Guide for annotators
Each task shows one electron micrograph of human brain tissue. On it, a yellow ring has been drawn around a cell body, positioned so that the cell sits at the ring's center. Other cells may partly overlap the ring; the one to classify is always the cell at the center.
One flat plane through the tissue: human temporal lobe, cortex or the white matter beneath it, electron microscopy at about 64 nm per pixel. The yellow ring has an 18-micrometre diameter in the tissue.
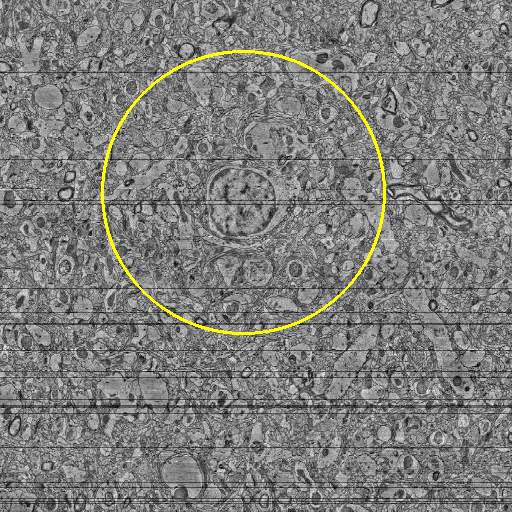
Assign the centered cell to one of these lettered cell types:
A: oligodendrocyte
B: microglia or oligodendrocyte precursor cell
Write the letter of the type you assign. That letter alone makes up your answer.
B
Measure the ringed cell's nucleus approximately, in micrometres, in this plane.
In this plane the ringed cell's nucleus is roughly 5 micrometres across.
